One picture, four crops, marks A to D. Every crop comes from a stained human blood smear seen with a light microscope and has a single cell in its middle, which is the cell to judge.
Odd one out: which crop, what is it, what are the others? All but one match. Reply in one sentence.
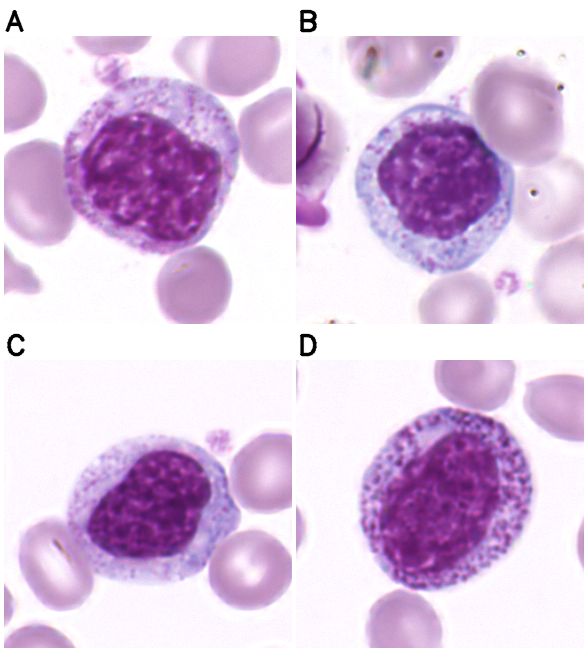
All the crops contain myelocytes save crop C, where there is a metamyelocyte.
